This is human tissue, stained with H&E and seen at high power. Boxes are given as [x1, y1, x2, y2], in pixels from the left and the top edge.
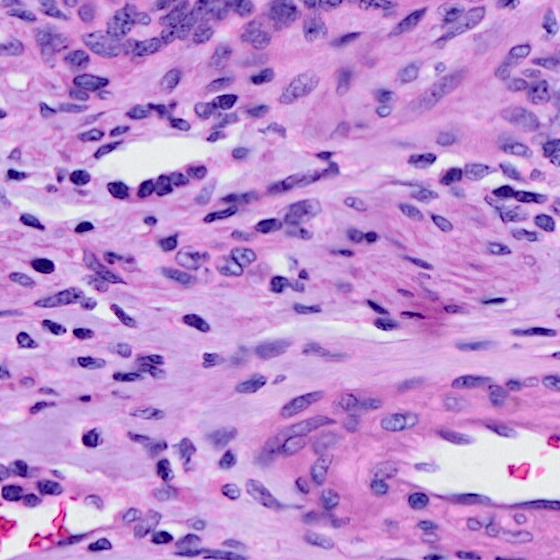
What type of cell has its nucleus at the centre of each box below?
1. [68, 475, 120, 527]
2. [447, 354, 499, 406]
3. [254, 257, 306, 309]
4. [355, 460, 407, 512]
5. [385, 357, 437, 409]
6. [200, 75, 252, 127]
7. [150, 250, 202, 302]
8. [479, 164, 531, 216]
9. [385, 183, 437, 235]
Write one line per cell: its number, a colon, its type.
1: endothelial cell
2: smooth muscle cell
3: lymphocyte
4: smooth muscle cell
5: smooth muscle cell
6: lymphocyte
7: endothelial cell
8: lymphocyte
9: smooth muscle cell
